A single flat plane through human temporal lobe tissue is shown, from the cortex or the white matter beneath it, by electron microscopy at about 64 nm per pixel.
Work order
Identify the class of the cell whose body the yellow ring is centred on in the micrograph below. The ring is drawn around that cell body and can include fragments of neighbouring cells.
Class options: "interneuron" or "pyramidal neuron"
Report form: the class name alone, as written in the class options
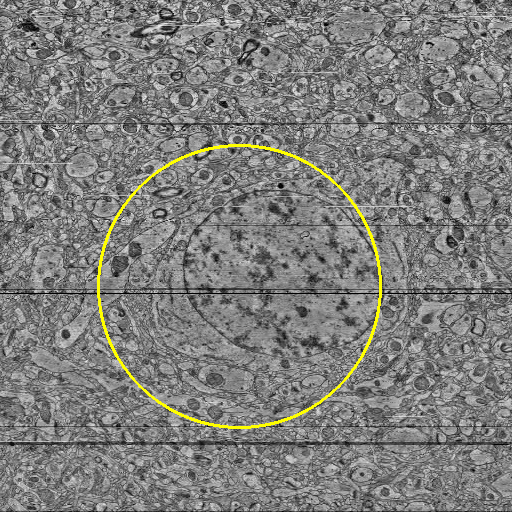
pyramidal neuron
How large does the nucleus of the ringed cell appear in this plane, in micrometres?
Approximately 13 by 11 micrometers in this plane.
